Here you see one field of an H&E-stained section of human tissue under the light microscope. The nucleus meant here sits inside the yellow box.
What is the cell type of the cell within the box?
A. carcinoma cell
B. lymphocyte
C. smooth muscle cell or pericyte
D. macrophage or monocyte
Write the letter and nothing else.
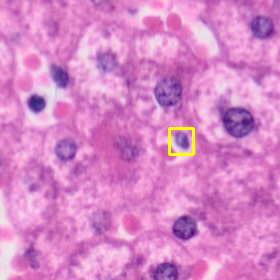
B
